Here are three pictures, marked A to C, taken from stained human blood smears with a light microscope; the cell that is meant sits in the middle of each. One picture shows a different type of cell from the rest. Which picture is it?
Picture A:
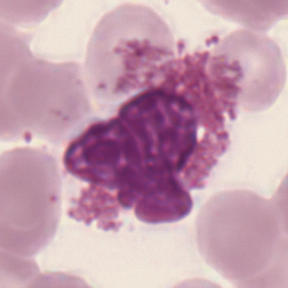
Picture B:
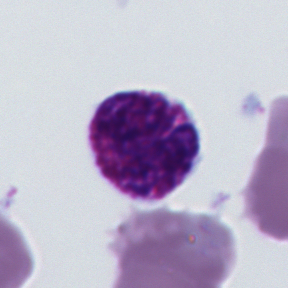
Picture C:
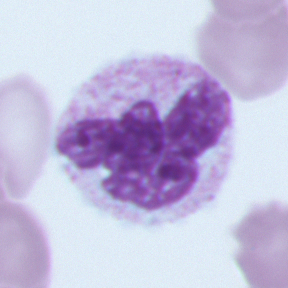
C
